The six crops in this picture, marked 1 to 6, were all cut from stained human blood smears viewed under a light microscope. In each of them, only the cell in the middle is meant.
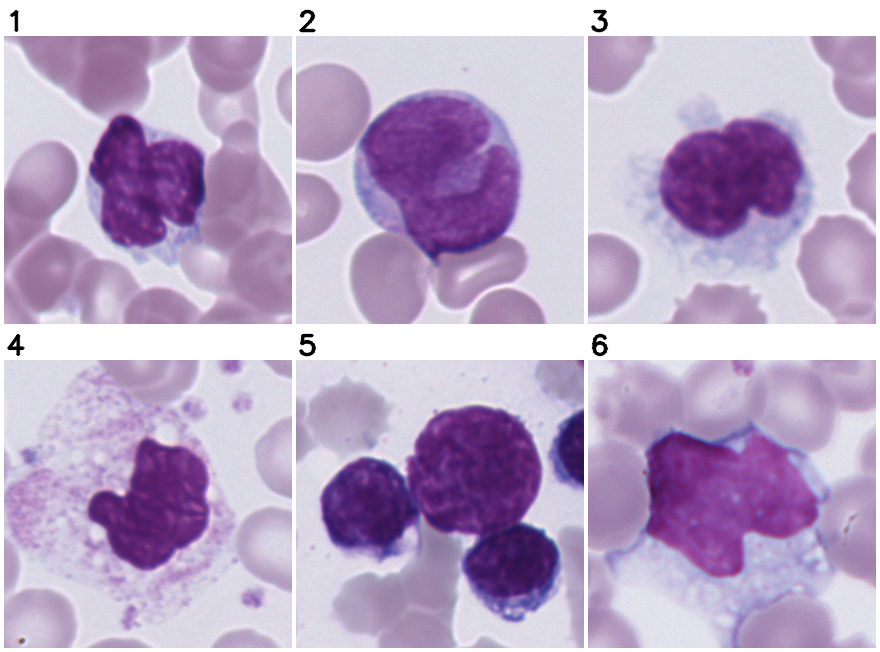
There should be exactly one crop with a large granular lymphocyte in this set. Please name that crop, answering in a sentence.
Crop 1 alone, of all the crops, shows a large granular lymphocyte.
